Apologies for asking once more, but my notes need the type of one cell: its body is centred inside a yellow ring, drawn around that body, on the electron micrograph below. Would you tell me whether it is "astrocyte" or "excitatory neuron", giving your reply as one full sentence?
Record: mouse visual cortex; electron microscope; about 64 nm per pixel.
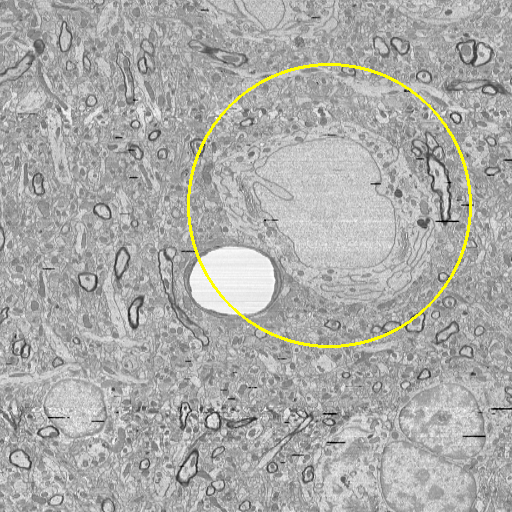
The cell that the yellow ring is centred on is an excitatory neuron in this micrograph.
